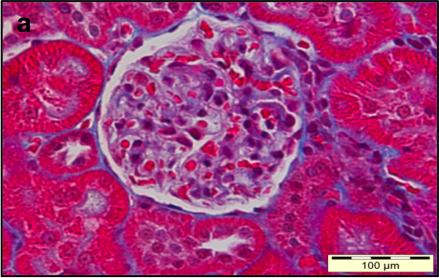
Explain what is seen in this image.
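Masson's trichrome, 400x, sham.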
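Kidney cortex with a glomerulus at centre, its tuft of capillary loops holding many dark purple nuclei. A clear space and thin capsule separate the tuft from the surrounding tubules. The tubules around it are lined by bright red cuboidal cells with round nuclei. Blue staining is sparse and limited to thin lines between structures.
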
